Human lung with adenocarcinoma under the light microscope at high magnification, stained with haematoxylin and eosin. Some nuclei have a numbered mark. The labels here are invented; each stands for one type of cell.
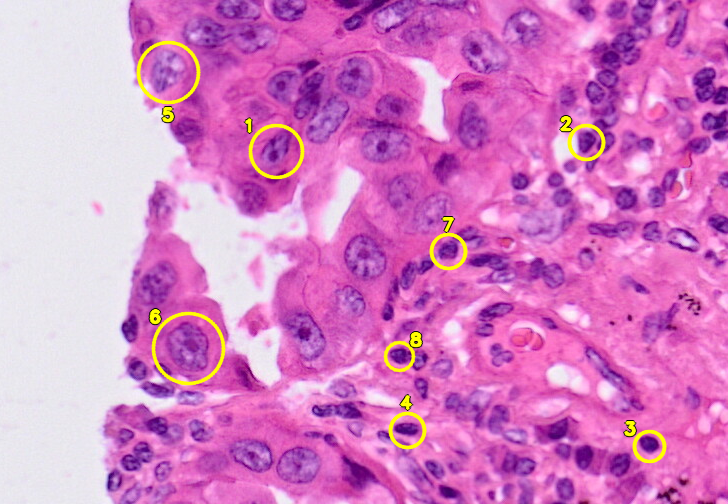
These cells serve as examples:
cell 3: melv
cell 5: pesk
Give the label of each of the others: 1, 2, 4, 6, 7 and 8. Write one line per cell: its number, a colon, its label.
1: pesk
2: melv
4: melv
6: pesk
7: melv
8: melv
